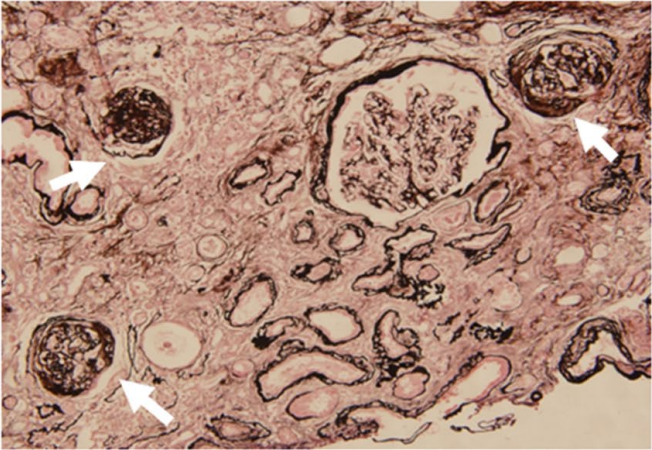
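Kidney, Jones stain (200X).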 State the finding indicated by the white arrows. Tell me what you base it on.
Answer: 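A larger structure in the centre keeps open, lacy capillary loops for comparison. The answer: glomeruli with global sclerosis.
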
